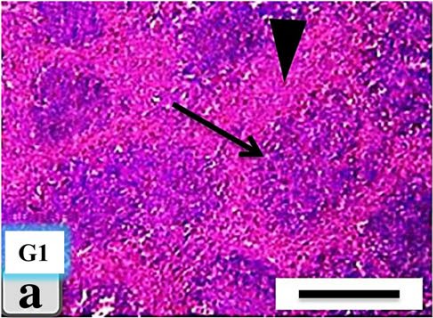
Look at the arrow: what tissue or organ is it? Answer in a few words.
White pulp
